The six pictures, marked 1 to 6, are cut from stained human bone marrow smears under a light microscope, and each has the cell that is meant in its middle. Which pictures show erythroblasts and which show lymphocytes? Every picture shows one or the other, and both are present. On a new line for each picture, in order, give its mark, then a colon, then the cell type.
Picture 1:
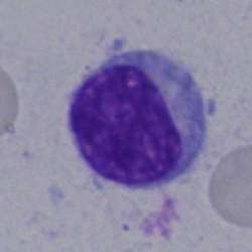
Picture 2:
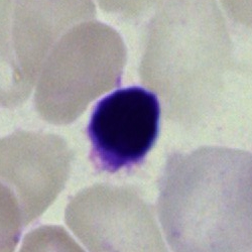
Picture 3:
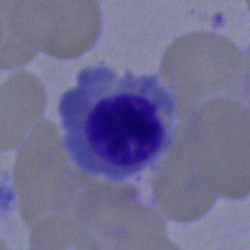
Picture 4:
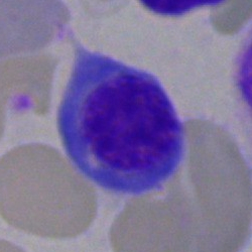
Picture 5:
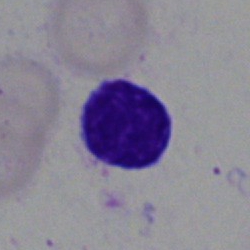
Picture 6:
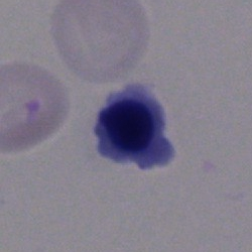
1: lymphocyte
2: lymphocyte
3: erythroblast
4: erythroblast
5: lymphocyte
6: erythroblast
